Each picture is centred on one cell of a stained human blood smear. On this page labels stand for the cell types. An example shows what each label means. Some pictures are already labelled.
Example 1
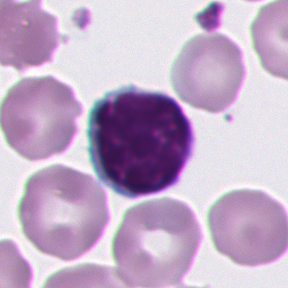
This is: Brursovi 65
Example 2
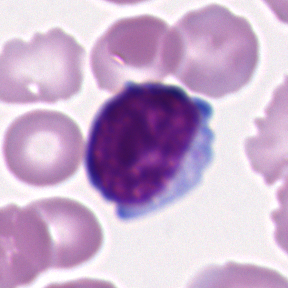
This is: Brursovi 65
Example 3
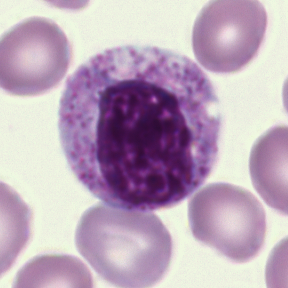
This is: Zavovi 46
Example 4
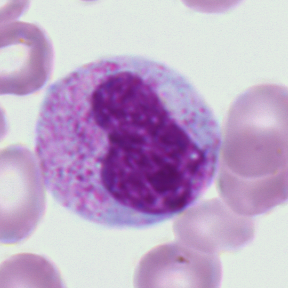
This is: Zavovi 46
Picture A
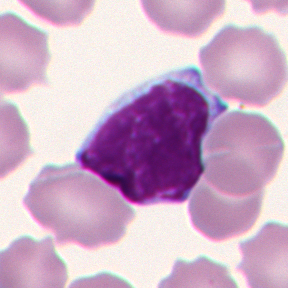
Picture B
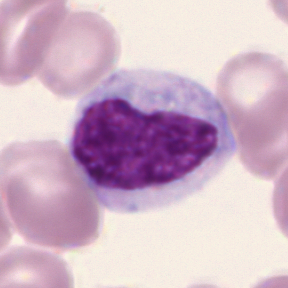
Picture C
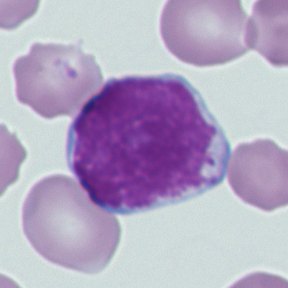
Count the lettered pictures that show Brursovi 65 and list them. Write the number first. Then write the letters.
Count: 2 (A, C)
